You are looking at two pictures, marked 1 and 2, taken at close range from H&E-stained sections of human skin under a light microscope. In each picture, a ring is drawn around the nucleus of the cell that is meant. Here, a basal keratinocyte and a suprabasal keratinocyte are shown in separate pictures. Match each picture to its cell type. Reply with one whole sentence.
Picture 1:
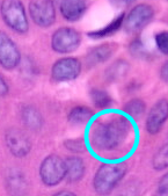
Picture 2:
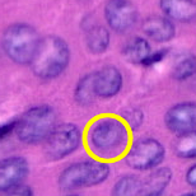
Picture 1 is of a basal keratinocyte, and picture 2 is of a suprabasal keratinocyte.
